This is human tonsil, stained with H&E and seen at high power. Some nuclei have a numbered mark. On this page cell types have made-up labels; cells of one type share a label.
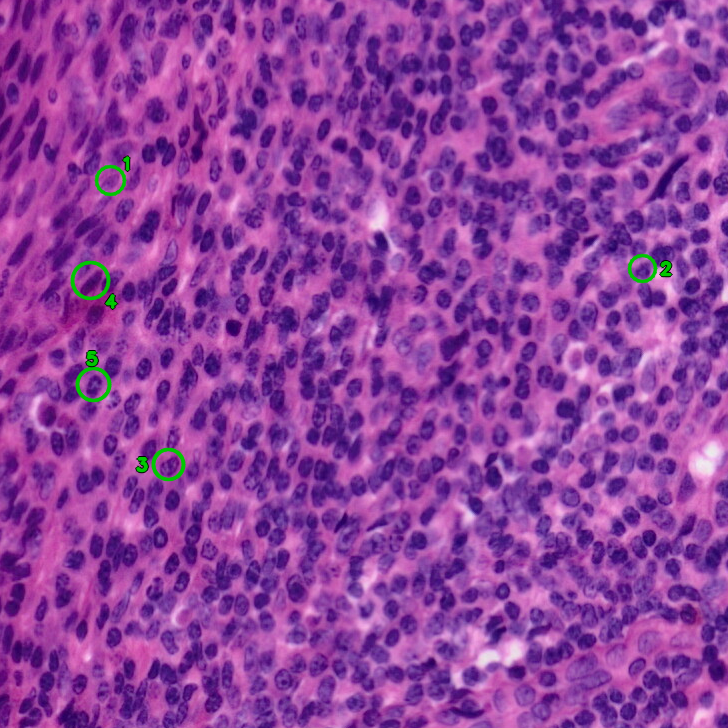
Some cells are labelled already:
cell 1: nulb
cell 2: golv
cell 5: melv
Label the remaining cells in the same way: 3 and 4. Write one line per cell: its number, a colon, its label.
3: melv
4: nulb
